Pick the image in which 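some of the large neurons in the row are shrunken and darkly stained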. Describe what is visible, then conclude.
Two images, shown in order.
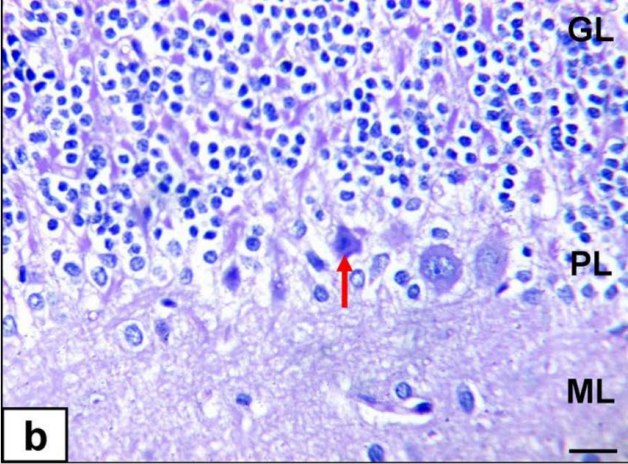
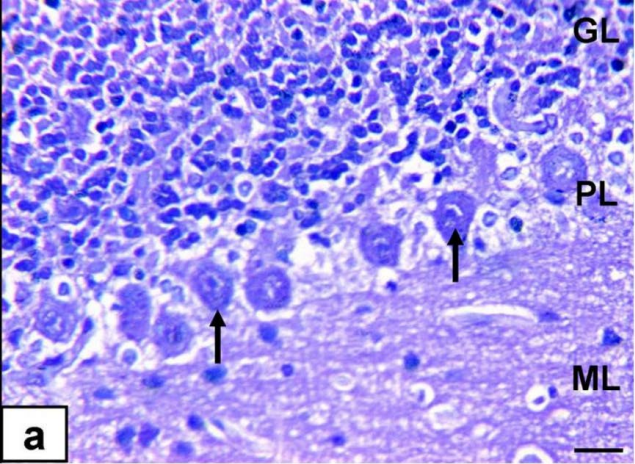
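First image: a small, dark, shrunken cell without a visible pale nucleus lies in the row of large neurons. So: the first image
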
